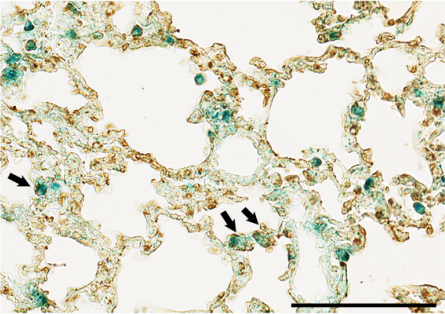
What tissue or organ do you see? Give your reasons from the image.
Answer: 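Large empty rounded air spaces are separated by thin septa. The septa are only one or a few cells thick, giving a lace-like network.
Lung.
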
